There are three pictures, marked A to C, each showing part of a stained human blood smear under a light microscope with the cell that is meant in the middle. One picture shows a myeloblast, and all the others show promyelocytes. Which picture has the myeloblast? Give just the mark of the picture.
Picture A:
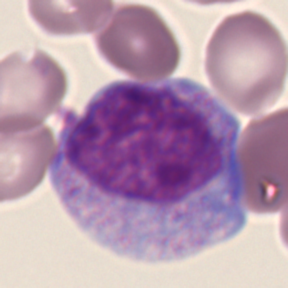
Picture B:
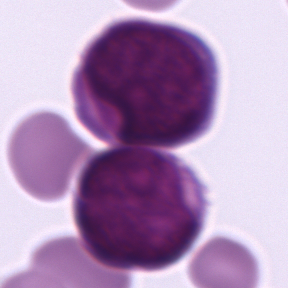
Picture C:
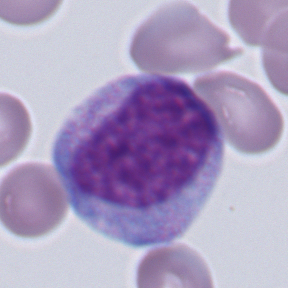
B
